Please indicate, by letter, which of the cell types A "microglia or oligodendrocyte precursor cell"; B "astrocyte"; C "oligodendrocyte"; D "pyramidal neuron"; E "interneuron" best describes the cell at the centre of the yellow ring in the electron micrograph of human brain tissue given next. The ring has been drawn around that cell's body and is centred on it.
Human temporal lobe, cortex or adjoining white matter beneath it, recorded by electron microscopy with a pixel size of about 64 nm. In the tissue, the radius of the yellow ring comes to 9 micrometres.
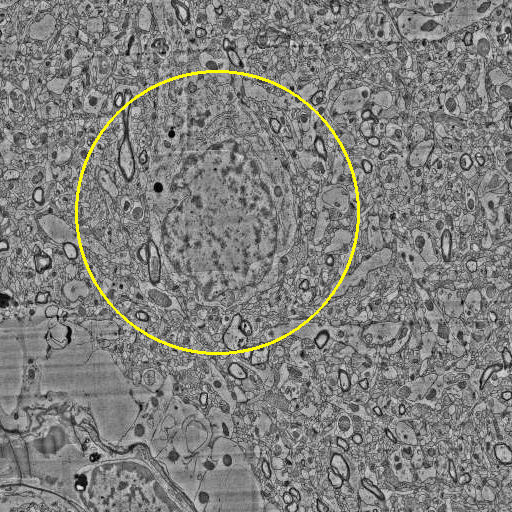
E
